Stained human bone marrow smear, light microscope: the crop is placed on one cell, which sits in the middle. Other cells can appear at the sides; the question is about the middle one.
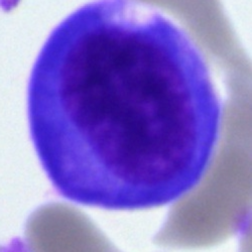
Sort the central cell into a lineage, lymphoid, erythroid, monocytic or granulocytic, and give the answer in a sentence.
The cell at the center of this crop is categorized as lymphoid in lineage.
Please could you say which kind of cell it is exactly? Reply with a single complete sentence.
This particular crop is centered on a plasma cell.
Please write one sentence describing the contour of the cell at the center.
A smooth, projection-free outline is what this cell has.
